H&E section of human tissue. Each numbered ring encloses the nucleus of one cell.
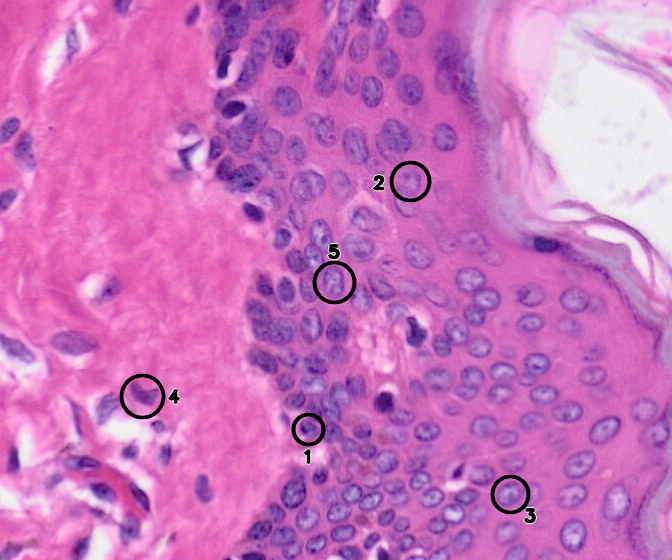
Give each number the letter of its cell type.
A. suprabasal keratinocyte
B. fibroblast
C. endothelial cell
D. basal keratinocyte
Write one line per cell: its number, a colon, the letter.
1: D
2: A
3: A
4: B
5: A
